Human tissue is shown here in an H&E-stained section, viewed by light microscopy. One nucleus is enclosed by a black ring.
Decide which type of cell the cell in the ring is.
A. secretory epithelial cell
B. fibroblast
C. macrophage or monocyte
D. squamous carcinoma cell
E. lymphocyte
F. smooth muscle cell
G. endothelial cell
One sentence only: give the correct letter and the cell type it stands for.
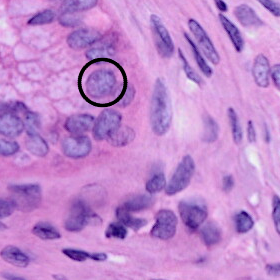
It is option A that correctly calls the cell in the ring a secretory epithelial cell.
